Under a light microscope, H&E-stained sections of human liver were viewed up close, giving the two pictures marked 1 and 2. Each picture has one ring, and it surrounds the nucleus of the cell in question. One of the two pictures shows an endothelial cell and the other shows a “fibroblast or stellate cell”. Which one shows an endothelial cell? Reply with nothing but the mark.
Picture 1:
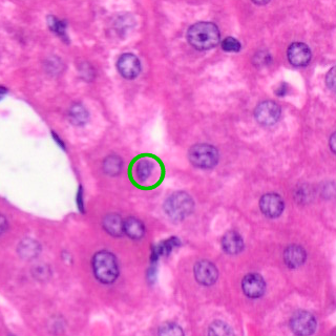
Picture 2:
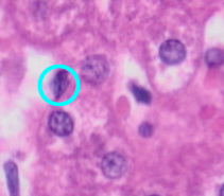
2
